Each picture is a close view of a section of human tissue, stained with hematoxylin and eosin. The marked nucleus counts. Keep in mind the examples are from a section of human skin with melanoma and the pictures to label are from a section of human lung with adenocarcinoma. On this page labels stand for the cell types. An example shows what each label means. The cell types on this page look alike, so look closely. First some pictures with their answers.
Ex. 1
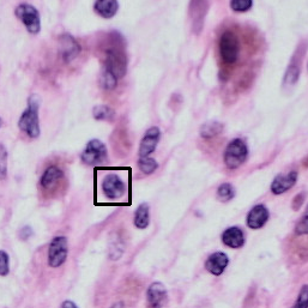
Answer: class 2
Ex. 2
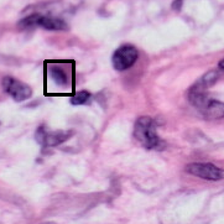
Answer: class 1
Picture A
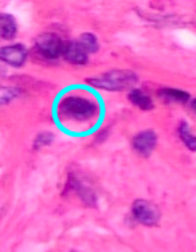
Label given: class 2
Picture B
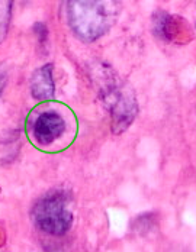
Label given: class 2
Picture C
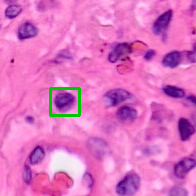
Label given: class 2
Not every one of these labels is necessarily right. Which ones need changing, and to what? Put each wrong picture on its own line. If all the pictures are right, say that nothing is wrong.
A: change class 2 to class 1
